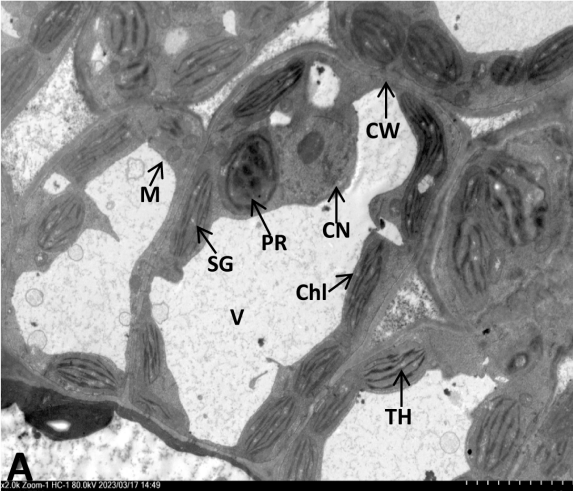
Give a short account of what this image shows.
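Several plant cells are seen, each bounded by a dark cell wall and largely filled by a pale central vacuole, with a thin layer of cytoplasm pressed against the wall. Within this layer lie many elongated, lens-shaped chloroplasts whose interior is crossed by dark parallel stacks of thylakoid membranes, with small pale starch grains among them. Small rounded mitochondria and a nucleus sit in the peripheral cytoplasm near the chloroplasts. The abundant chloroplasts hugging the walls mark these as photosynthetic leaf cells.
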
